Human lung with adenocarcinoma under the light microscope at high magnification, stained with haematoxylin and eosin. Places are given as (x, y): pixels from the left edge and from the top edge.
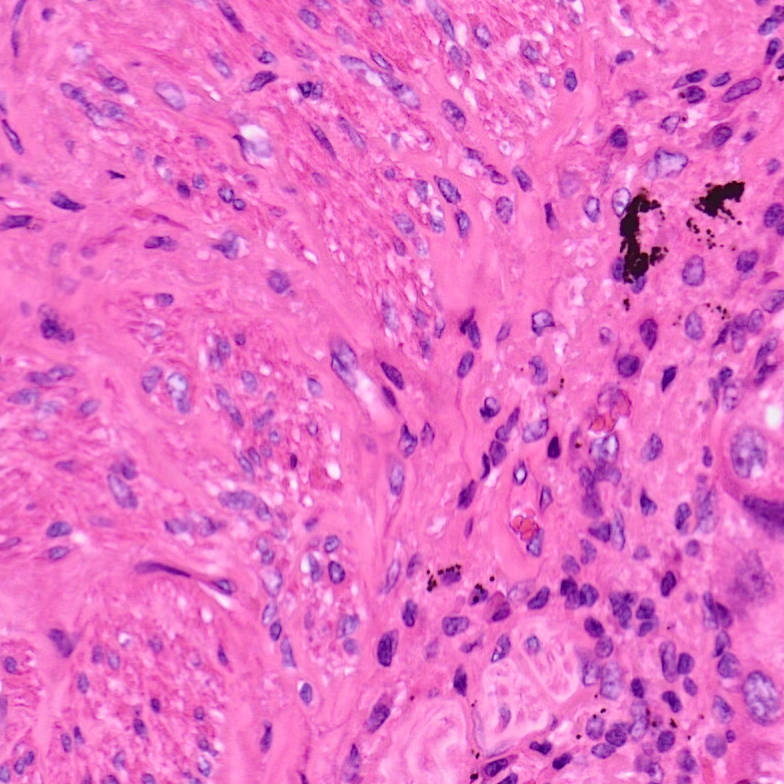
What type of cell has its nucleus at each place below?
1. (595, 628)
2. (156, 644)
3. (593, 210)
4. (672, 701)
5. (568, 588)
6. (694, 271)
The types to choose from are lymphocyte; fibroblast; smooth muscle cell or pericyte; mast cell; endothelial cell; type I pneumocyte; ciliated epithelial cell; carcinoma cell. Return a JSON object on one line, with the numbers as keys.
{"1": "lymphocyte", "2": "smooth muscle cell or pericyte", "3": "fibroblast", "4": "lymphocyte", "5": "lymphocyte", "6": "fibroblast"}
